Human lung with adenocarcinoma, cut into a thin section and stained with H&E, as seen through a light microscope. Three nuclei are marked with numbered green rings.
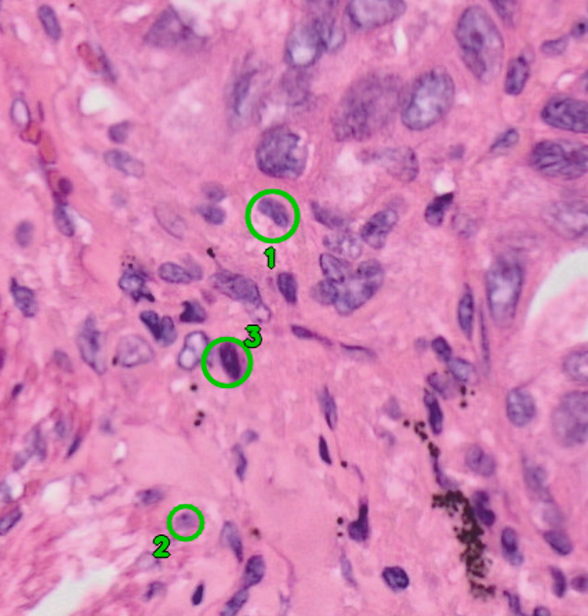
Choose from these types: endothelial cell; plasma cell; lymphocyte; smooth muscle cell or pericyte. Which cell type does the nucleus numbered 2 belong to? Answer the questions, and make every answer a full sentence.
Cell 2 should be recorded as a smooth muscle cell or pericyte.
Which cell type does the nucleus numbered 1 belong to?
The mark numbered 1 indicates the nucleus of a lymphocyte.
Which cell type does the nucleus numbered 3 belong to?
The cell bearing label 3 corresponds to a plasma cell.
